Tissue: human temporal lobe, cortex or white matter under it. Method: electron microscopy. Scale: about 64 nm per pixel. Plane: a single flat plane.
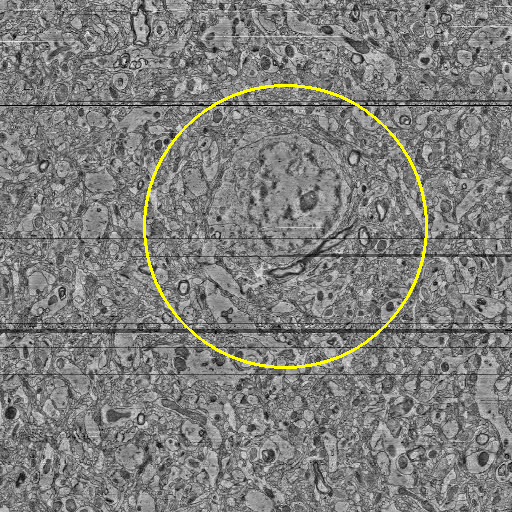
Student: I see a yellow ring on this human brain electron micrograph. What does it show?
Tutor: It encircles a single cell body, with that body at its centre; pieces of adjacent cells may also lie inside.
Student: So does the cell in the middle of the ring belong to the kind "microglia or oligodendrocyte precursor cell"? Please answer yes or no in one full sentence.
No, that cell at the centre of the ring is one of another kind.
